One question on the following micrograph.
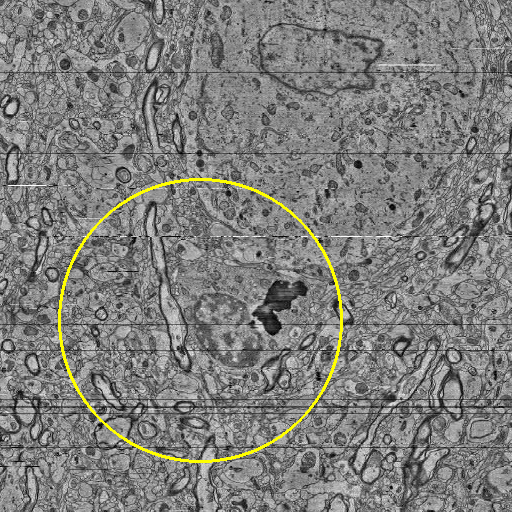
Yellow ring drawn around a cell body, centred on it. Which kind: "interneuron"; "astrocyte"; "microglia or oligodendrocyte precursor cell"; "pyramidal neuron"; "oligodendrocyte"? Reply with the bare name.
oligodendrocyte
